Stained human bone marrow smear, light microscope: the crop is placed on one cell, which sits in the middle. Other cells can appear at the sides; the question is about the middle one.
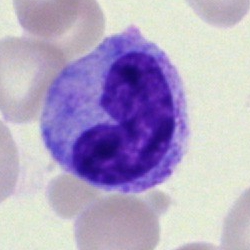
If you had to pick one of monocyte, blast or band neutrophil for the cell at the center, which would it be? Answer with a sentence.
The cell centered in this field of view is a monocyte.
